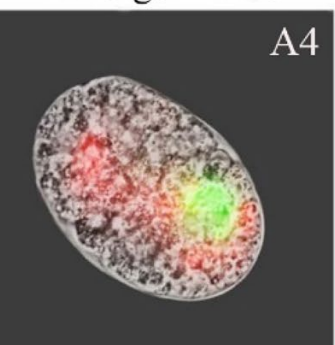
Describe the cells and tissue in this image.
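An early nematode embryo fills an oval eggshell as a compact mass of many small, granular cells; no elongated worm shape is yet visible. The cells appear as a dense, speckled texture without clear individual borders at this magnification. Patchy red fluorescence lies in the left and central part of the embryo, in irregular clusters, while a single compact rounded patch of green fluorescence sits toward the right end, partly bordered by red. The eggshell forms a smooth, thin, continuous outline around the whole mass.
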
